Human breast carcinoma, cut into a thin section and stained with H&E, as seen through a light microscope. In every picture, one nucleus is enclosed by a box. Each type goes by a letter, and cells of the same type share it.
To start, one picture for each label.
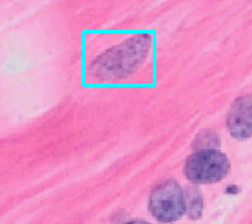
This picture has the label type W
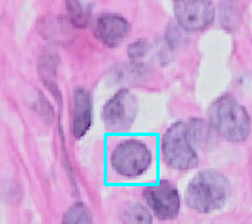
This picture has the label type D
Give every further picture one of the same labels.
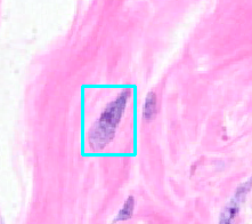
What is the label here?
type W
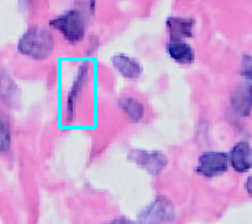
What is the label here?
type W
